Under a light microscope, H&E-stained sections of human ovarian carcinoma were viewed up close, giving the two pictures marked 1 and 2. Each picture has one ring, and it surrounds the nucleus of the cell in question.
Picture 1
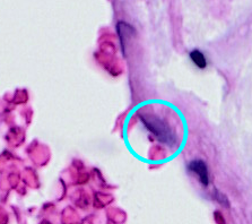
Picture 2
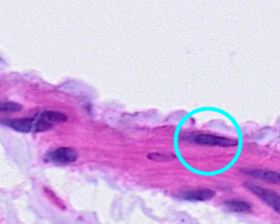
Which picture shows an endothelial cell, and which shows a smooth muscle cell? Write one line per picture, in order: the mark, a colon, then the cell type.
1: endothelial cell
2: smooth muscle cell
